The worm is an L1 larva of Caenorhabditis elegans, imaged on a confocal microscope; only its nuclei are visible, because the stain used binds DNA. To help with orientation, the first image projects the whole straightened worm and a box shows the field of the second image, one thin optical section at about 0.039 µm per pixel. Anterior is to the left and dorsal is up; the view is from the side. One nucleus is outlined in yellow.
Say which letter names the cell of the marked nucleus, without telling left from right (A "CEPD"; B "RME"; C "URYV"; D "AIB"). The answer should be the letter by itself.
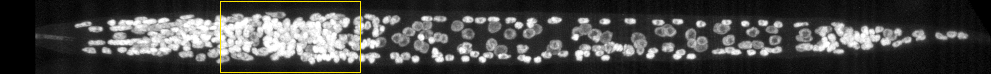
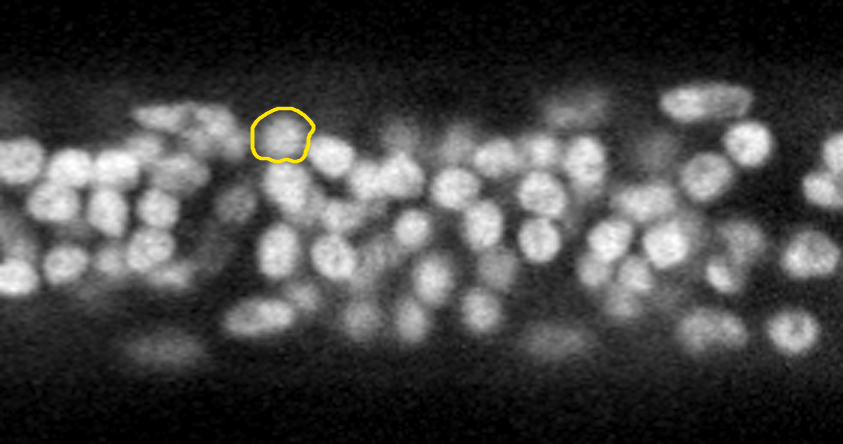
A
